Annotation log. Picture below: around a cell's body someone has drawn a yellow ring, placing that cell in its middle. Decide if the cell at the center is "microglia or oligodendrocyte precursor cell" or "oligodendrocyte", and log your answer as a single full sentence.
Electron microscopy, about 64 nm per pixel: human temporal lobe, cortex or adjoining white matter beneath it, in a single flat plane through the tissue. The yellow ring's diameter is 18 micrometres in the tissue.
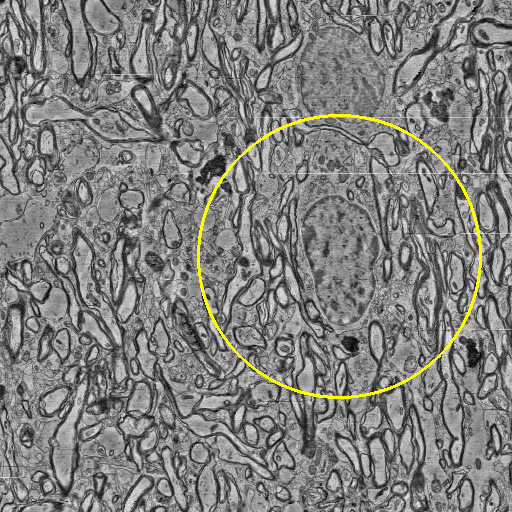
My entry records a microglial cell or oligodendrocyte precursor cell as the cell sitting at the center of the yellow ring.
